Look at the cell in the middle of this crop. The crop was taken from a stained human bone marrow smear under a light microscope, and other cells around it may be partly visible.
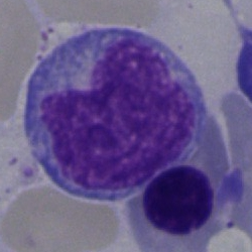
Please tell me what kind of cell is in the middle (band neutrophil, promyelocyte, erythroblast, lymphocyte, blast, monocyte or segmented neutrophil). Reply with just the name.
monocyte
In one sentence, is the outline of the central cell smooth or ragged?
Its periphery is smooth, and no projections arise from it.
